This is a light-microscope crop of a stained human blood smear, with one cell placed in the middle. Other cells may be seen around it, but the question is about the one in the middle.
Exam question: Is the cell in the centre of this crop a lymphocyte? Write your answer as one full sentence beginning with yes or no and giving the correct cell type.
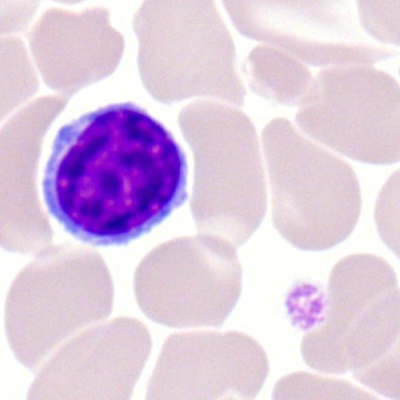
Yes, the cell positioned at the centre of the crop is a lymphocyte.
